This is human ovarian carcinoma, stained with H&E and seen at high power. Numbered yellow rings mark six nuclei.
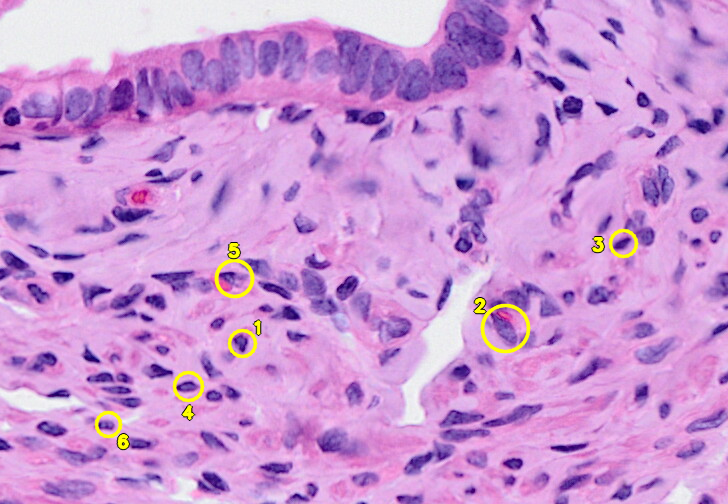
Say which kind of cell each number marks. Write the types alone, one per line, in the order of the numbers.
smooth muscle cell
endothelial cell
smooth muscle cell
smooth muscle cell
endothelial cell
smooth muscle cell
